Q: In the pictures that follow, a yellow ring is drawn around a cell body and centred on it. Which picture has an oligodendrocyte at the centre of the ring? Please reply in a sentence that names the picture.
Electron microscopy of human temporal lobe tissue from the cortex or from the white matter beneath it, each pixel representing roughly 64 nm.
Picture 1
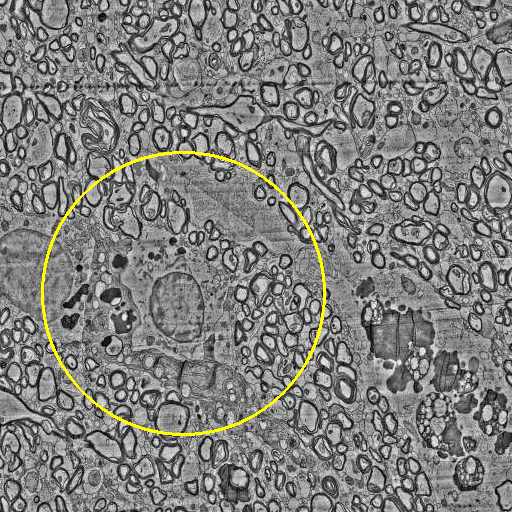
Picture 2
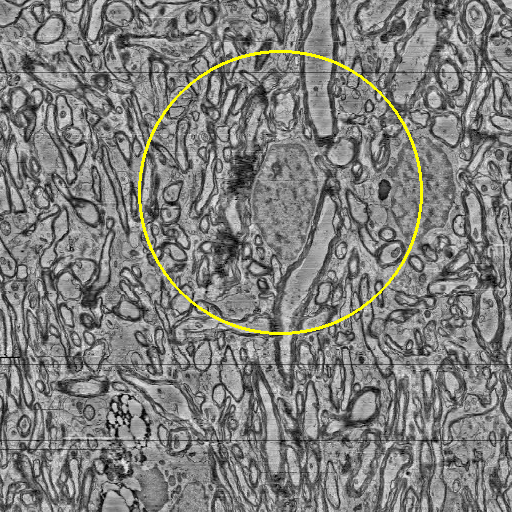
Picture 2 shows it at the centre of its ring.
